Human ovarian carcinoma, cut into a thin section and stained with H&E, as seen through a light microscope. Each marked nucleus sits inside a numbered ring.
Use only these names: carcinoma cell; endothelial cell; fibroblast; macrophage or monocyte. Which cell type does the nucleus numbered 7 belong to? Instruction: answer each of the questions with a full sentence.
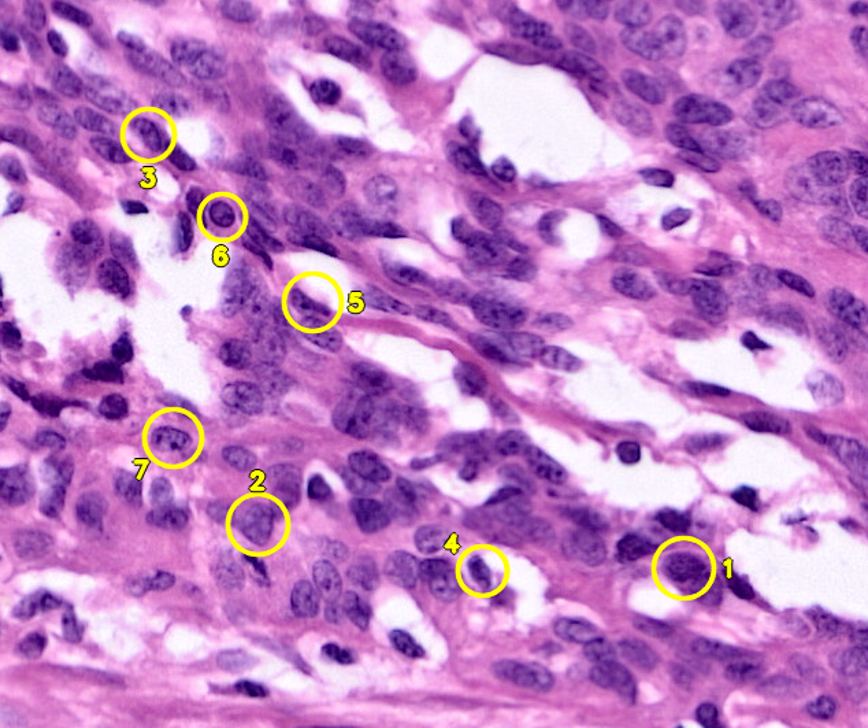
Cell number 7 in this section is a macrophage or monocyte.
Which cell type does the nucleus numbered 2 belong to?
The cell marked with the number 2 is a carcinoma cell.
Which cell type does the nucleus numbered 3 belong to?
Among the marked cells, number 3 is a carcinoma cell.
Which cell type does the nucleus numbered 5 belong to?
Classified as a macrophage or monocyte is the cell with the number 5.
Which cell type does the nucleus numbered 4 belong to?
The cell carrying label 4 is identified as a carcinoma cell.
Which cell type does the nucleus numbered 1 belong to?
The marked cell bearing number 1 is a carcinoma cell.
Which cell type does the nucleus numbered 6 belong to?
Belonging to a macrophage or monocyte is the nucleus that carries the number 6.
